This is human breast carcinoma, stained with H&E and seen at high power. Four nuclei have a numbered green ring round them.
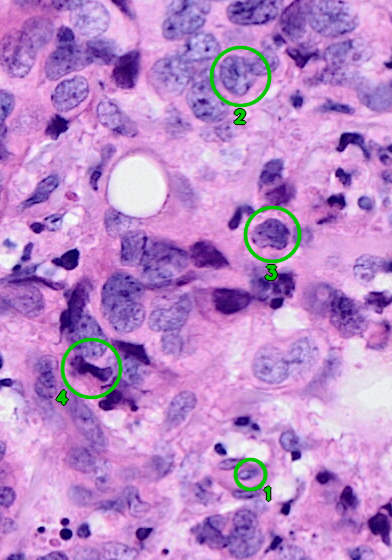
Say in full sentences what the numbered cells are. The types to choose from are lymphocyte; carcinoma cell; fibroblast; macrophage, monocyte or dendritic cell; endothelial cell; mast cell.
Cell 1 is an endothelial cell, cell 2 is a carcinoma cell, cell 3 is a carcinoma cell and cell 4 is a carcinoma cell.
